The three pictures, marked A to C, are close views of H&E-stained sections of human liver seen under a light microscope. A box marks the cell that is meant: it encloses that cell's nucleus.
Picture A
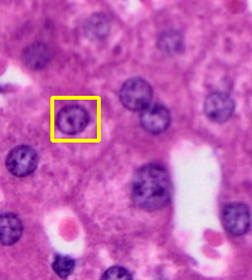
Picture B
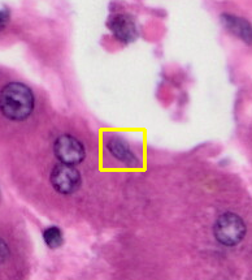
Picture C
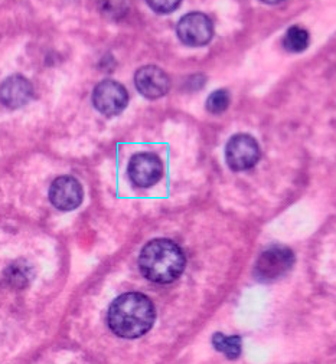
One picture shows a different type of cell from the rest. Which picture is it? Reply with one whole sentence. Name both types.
Unlike the rest, which show hepatocytes, picture B shows a “fibroblast or stellate cell”.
